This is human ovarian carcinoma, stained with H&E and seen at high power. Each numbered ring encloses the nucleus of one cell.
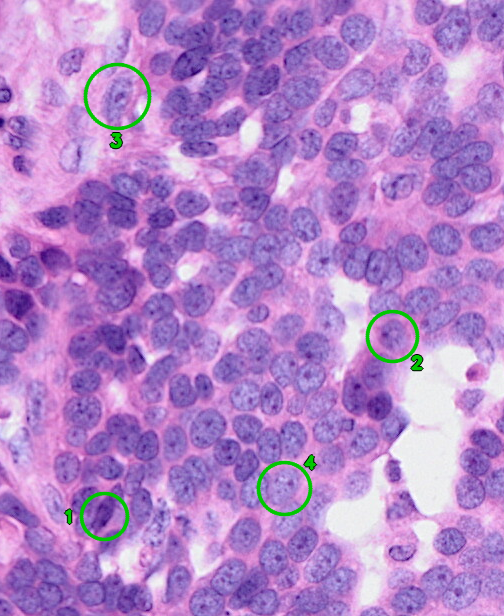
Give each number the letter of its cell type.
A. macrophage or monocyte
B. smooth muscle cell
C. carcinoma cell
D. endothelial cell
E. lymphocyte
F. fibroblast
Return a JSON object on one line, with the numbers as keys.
{"1": "C", "2": "C", "3": "F", "4": "C"}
